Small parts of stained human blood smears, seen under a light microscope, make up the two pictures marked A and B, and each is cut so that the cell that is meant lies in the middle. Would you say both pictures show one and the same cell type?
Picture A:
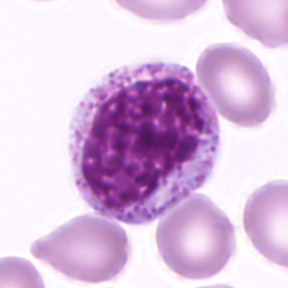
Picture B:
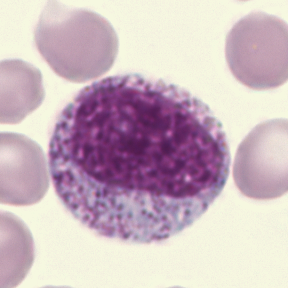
no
